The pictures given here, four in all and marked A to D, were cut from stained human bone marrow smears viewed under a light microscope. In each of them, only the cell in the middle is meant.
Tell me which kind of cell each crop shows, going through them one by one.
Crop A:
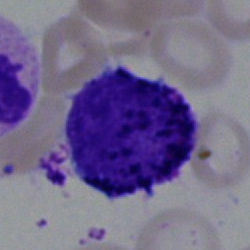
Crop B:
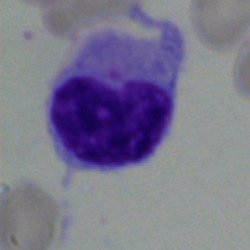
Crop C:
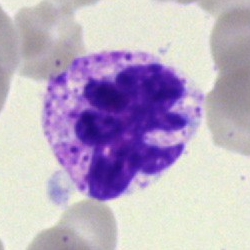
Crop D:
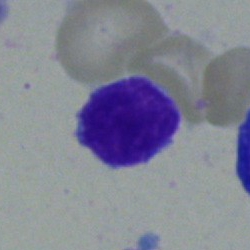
A: basophil
B: hairy cell
C: basophil
D: blast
